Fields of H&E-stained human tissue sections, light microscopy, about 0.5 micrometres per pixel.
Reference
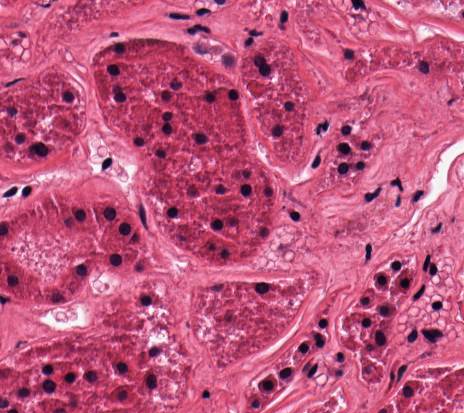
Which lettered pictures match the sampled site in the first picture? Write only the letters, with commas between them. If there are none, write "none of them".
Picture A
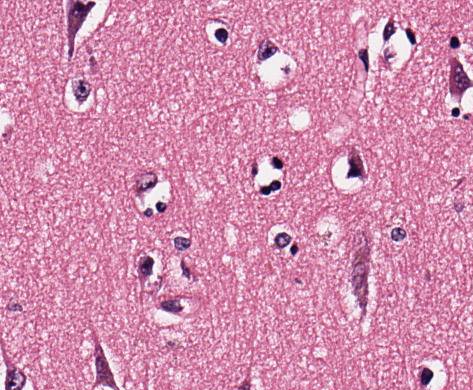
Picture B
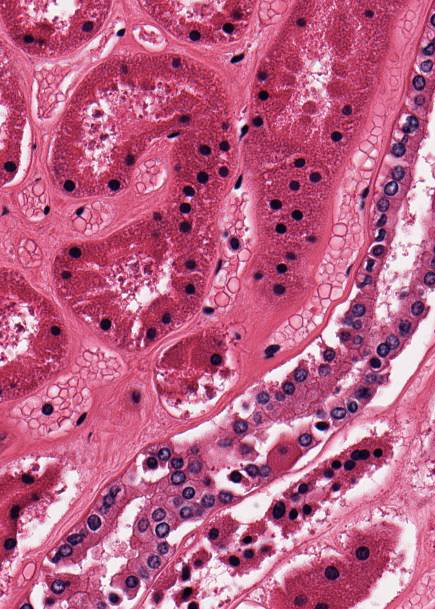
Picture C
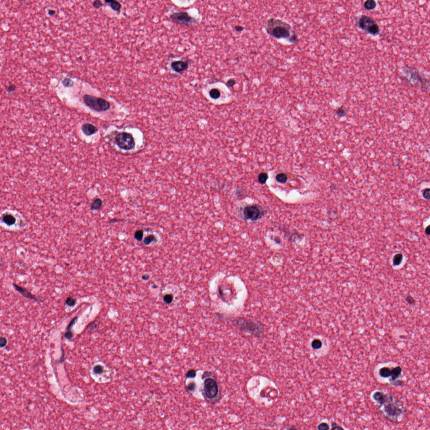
B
